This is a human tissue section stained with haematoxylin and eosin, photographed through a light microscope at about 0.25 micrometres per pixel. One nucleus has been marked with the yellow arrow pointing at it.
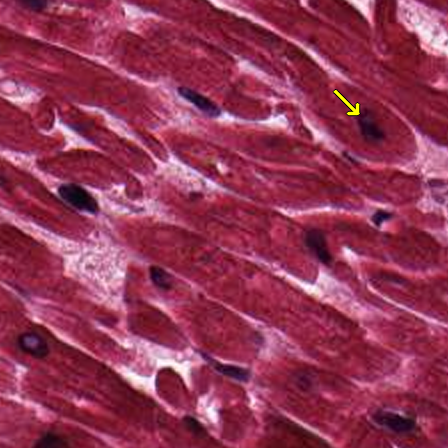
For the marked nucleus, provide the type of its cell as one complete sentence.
The marked nucleus is a nucleus of a cardiomyocyte.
